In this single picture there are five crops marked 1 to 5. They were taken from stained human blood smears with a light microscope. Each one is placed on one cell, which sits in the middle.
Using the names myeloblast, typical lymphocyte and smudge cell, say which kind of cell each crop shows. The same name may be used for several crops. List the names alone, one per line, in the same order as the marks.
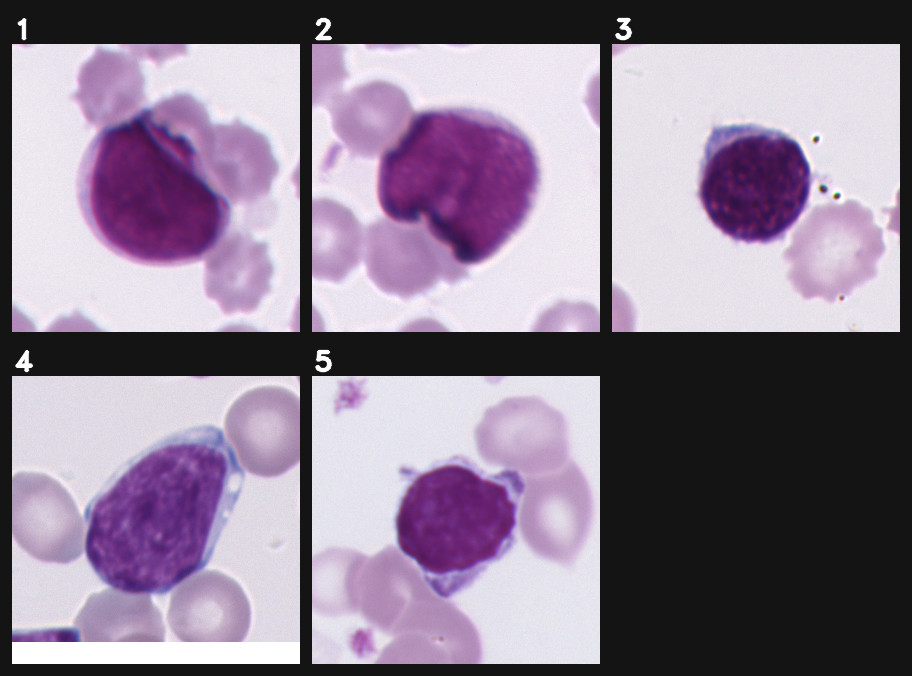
myeloblast
myeloblast
typical lymphocyte
myeloblast
typical lymphocyte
